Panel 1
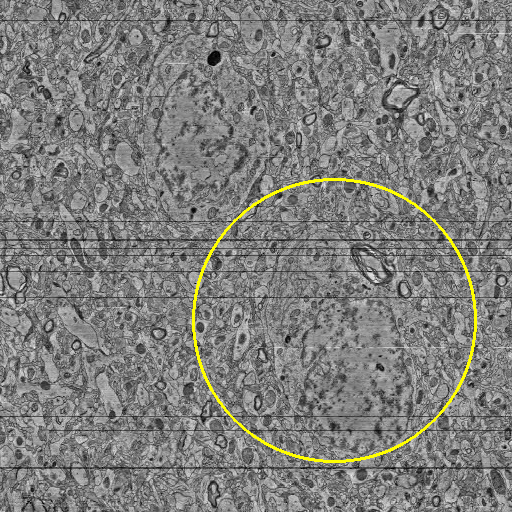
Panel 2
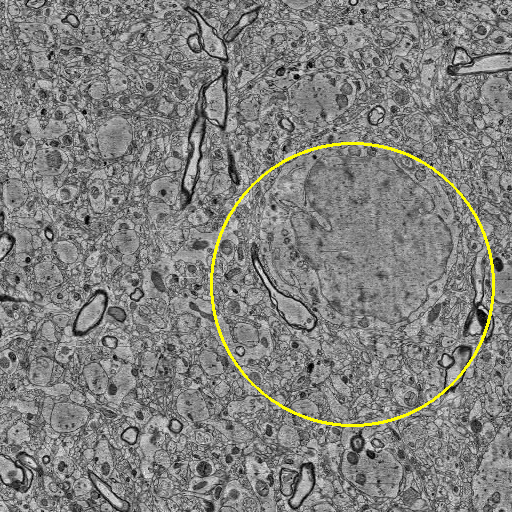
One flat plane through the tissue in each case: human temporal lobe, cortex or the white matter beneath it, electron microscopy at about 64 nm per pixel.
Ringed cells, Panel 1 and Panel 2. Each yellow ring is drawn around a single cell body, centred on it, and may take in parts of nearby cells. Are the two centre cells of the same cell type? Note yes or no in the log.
yes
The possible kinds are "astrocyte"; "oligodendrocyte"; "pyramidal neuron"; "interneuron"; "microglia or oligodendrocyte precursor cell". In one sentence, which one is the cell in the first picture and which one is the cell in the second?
In the first picture and in the second, the ring is centred on an interneuron.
